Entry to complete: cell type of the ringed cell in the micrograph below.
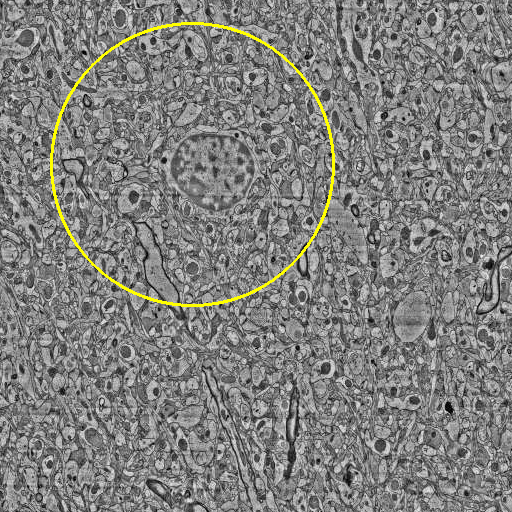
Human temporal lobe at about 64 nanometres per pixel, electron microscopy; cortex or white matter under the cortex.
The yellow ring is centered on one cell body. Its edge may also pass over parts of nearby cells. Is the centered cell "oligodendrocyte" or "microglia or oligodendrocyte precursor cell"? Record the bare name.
microglia or oligodendrocyte precursor cell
